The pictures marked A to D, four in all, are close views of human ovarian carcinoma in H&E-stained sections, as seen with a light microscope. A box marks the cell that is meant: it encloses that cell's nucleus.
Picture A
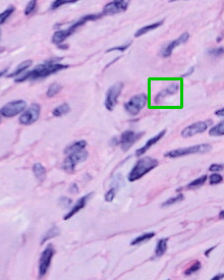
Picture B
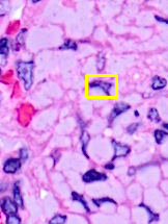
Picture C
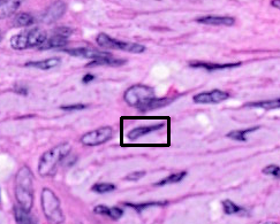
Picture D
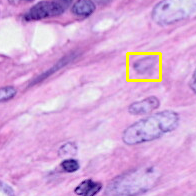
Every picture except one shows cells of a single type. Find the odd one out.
A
